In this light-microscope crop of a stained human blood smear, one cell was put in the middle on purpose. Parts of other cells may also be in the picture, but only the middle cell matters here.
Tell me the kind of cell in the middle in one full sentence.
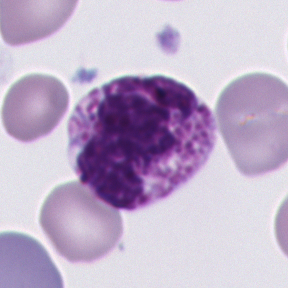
The cell occupying the middle of the crop is a basophil.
